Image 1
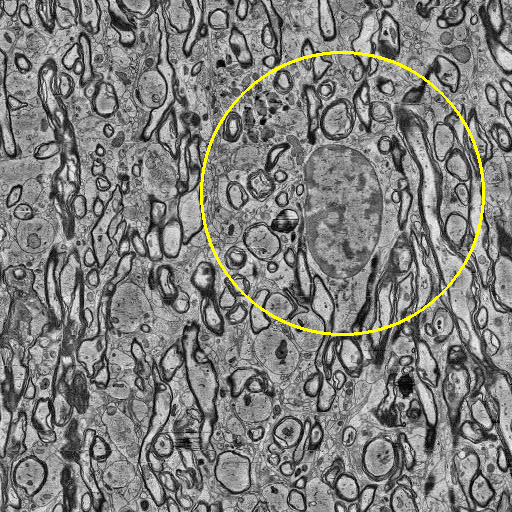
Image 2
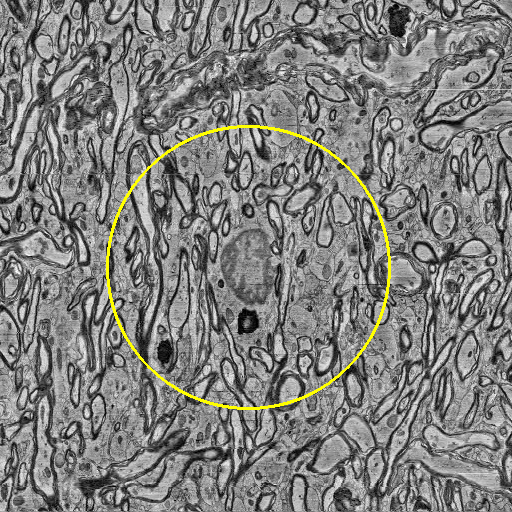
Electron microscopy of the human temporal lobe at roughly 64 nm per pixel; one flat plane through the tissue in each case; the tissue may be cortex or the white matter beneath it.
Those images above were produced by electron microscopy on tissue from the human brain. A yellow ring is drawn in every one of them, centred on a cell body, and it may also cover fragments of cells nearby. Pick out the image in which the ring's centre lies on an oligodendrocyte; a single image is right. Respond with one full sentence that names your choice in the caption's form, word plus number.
Image 2 is my choice: its ring is centred on the requested cell.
